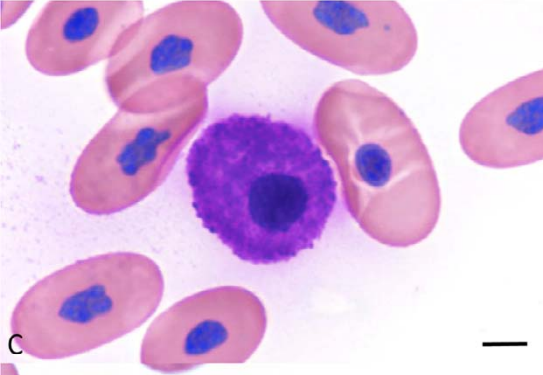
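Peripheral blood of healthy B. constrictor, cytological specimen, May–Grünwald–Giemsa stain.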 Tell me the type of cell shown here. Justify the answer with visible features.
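A central round cell with purple cytoplasm packed with granules. A dark purple nucleus lies within it. Nucleated oval red cells surround it. That points to this answer: basophil.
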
